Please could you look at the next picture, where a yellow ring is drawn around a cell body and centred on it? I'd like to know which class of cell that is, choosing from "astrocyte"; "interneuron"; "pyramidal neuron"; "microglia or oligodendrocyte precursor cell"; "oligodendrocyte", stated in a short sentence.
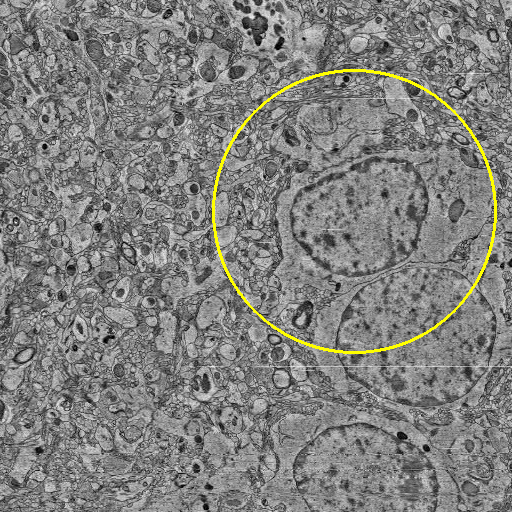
The ring's centre lies on an astrocyte.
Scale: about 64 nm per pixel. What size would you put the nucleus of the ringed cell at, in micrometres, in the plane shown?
In this plane, the nucleus of the cell at the centre of the ring measures about 9 by 7 micrometres.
